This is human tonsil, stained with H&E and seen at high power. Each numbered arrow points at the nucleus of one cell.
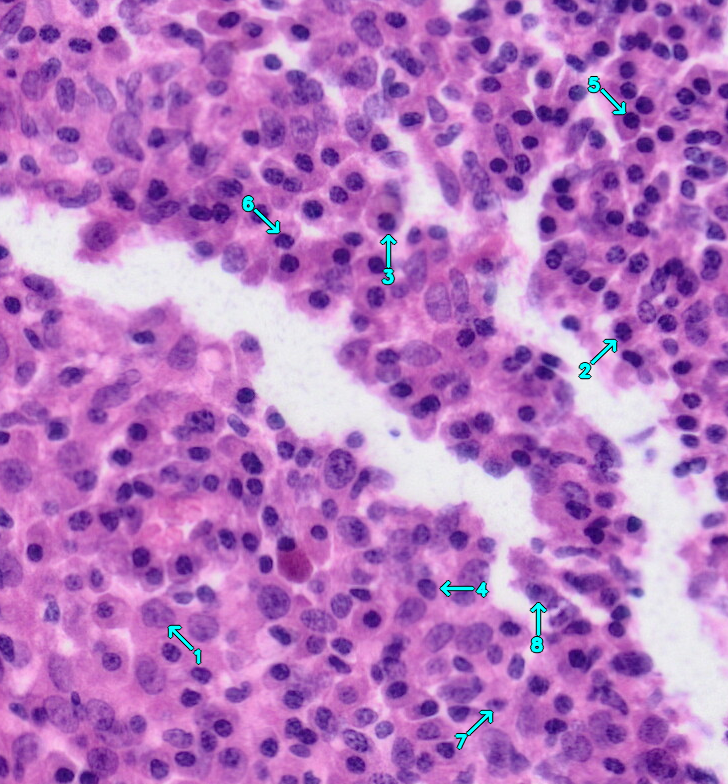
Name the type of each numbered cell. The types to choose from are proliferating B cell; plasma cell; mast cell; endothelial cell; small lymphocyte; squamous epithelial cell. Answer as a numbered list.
1. squamous epithelial cell
2. plasma cell
3. plasma cell
4. squamous epithelial cell
5. plasma cell
6. plasma cell
7. squamous epithelial cell
8. squamous epithelial cell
